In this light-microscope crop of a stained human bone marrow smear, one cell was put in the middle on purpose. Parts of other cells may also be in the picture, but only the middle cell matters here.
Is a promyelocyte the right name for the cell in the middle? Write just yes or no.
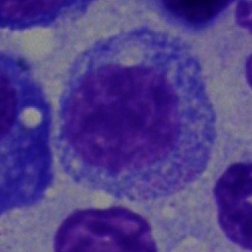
yes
